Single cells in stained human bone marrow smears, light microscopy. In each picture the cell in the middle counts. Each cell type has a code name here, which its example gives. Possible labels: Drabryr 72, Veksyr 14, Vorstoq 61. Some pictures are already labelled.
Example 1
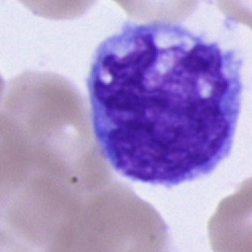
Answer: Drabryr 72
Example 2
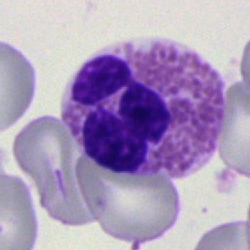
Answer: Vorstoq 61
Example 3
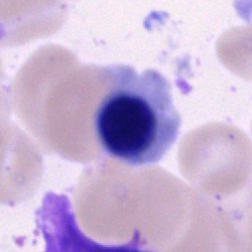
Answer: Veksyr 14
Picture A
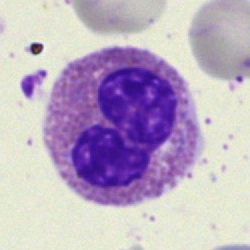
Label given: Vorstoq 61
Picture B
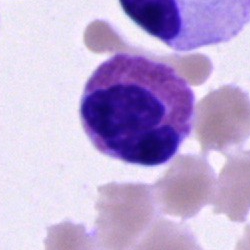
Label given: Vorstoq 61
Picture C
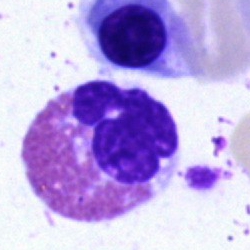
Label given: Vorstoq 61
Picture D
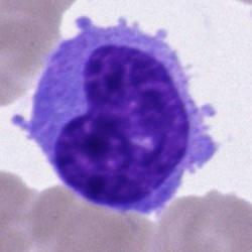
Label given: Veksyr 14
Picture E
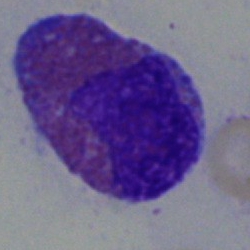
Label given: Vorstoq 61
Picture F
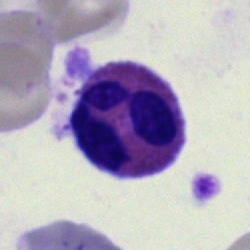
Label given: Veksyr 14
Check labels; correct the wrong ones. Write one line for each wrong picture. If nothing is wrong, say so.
D: Drabryr 72, not Veksyr 14
F: Vorstoq 61, not Veksyr 14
